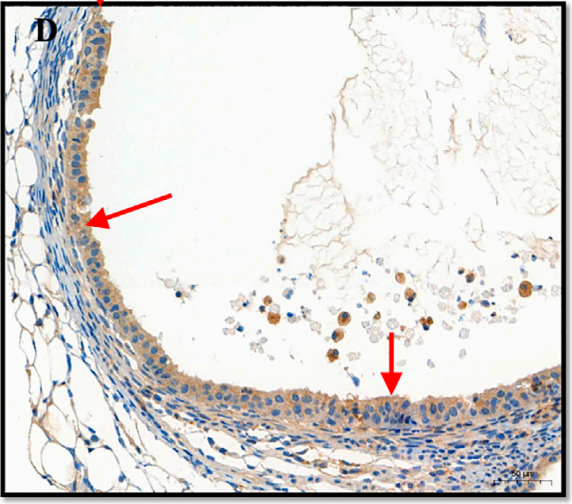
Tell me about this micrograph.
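The wall of a cyst is lined on its inner face by a band of several layers of cuboidal cells with round blue nuclei and cytoplasm stained brown. Beneath the lining lies a layer of fibrous tissue with elongated spindle nuclei, and on the outer side there are large empty-looking fat cells. In the lumen there are scattered rounded loose cells, some of them staining strongly brown, among pale wispy material.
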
